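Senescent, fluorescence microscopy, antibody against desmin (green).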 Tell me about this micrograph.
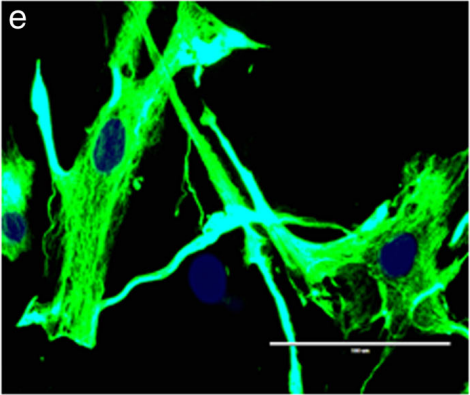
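These are cultured myoblasts, several of them broad and flattened, with green cytoplasm and blue nuclei. The cell on the left is wide and spread out, its single oval nucleus surrounded by a large field of cytoplasm. Within the cytoplasm the green signal is drawn out into prominent parallel filaments running the length of the cell. Other cells send out long, thick green extensions that cross one another. On the right a cell spreads irregularly with a dense filament network around its nucleus.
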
